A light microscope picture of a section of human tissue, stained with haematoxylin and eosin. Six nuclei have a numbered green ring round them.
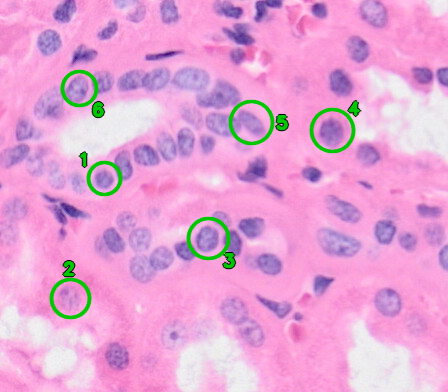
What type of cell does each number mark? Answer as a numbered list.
1. collecting duct cell
2. proximal tubule cell
3. collecting duct cell
4. loop of Henle or distal tubule cell
5. collecting duct cell
6. collecting duct cell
